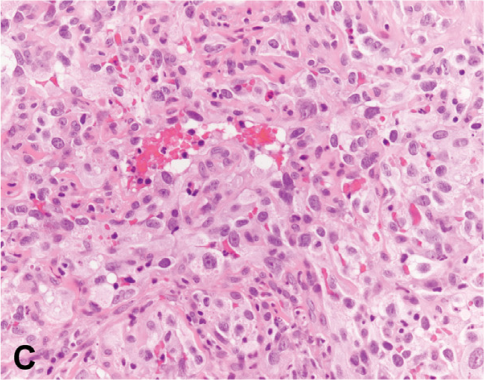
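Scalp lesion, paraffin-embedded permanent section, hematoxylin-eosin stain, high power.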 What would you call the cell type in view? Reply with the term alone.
Markedly atypical epithelioid tumor cells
